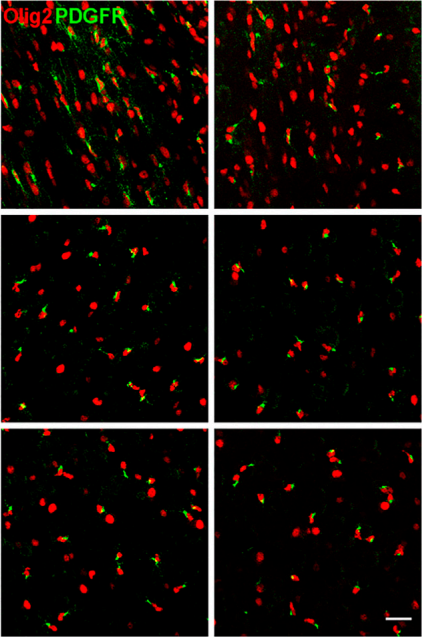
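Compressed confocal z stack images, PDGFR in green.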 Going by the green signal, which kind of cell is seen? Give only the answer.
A: oligodendrocyte progenitor cells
